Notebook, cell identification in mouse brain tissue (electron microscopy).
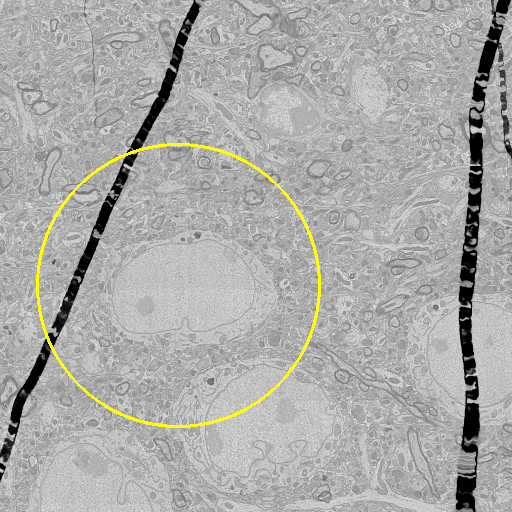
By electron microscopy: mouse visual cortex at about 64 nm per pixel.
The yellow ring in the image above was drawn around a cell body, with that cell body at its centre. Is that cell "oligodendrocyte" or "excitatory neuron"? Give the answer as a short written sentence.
The cell in the ring is an excitatory neuron.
